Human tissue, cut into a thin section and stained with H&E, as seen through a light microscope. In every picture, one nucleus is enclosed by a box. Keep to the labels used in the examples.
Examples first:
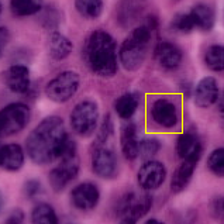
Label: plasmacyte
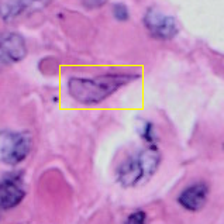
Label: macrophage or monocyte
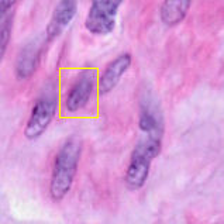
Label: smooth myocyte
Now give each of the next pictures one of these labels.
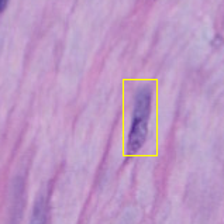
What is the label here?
smooth myocyte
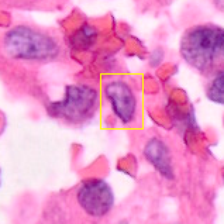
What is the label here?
macrophage or monocyte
